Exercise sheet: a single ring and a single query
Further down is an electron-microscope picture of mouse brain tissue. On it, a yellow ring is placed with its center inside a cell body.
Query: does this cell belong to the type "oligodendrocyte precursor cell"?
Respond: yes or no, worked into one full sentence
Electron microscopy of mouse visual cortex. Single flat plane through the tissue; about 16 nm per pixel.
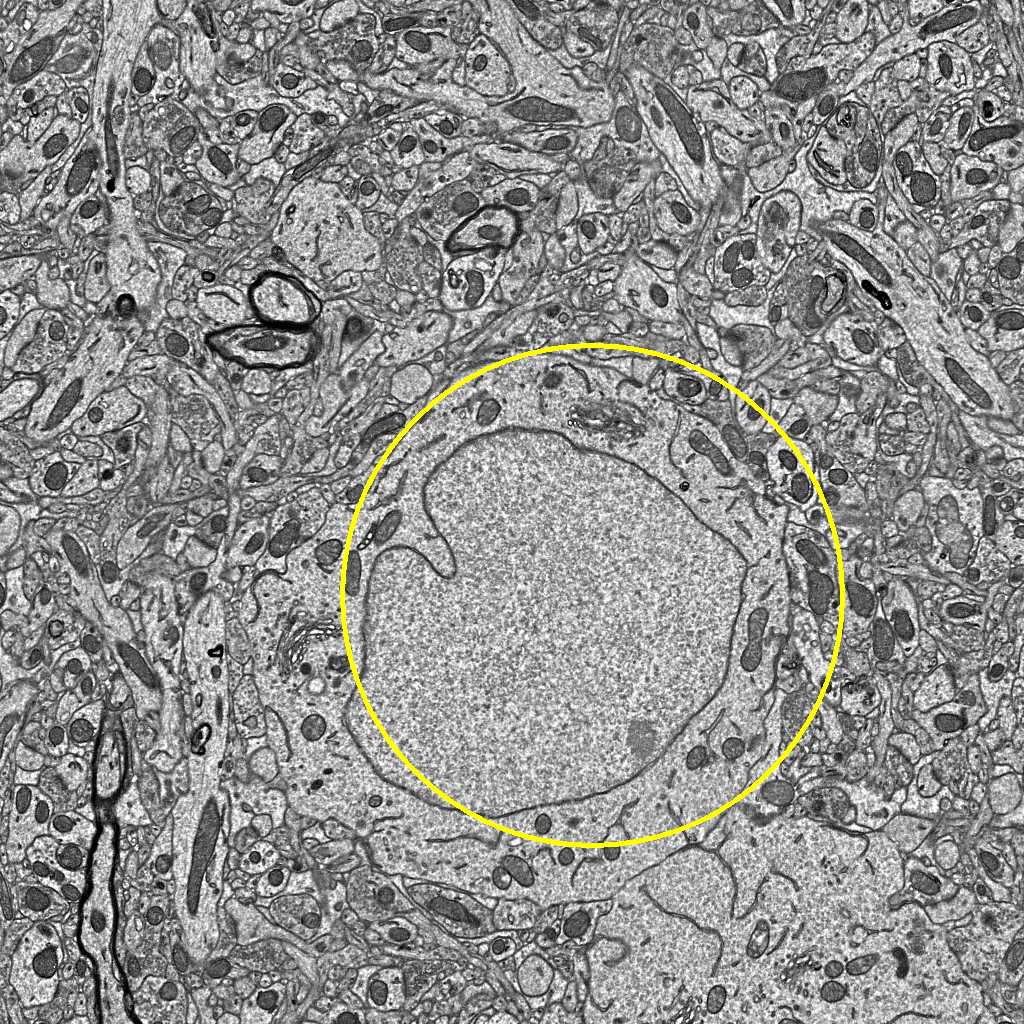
No, this cell, found at the center of the ring in the picture, is of a different type.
